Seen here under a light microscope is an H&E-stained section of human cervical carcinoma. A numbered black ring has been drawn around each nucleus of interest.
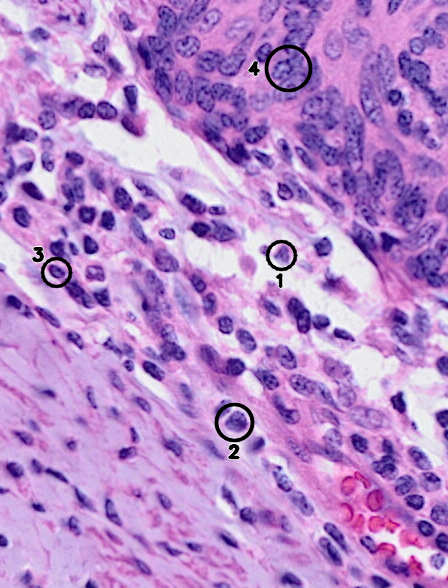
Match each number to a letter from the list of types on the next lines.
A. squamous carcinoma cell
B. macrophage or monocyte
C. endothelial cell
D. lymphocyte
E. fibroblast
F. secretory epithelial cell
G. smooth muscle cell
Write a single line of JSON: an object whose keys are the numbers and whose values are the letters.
{"1": "D", "2": "D", "3": "D", "4": "A"}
